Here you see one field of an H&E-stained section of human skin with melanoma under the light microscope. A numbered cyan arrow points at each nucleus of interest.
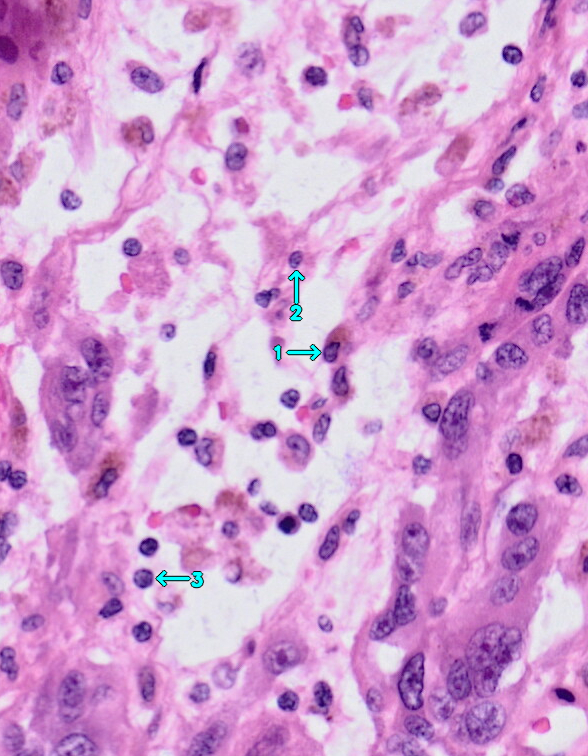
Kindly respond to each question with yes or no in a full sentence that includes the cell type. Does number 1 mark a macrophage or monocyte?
Yes, the cell pointed out as number 1 is a macrophage or monocyte.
